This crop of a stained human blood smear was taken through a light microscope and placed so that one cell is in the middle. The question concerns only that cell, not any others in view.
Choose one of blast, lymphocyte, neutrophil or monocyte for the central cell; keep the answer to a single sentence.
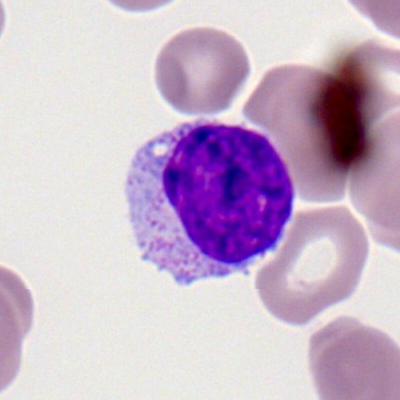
In the central position of this crop, the cell is a lymphocyte.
